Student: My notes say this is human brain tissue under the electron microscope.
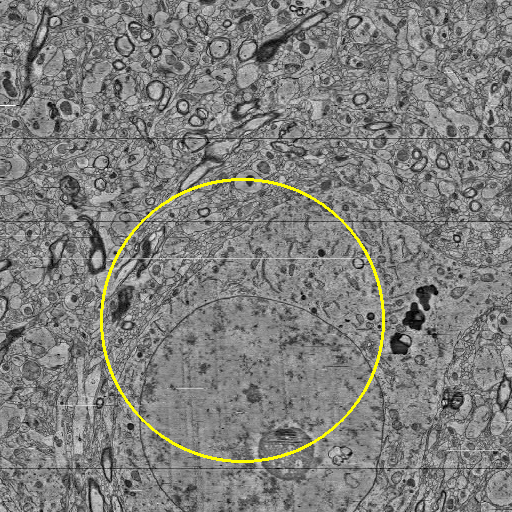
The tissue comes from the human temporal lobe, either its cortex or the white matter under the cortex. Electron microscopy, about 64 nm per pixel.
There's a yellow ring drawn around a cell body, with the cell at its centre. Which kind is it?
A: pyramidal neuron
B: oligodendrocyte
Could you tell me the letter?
A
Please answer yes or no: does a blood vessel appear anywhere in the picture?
No, there is no blood vessel in the image.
